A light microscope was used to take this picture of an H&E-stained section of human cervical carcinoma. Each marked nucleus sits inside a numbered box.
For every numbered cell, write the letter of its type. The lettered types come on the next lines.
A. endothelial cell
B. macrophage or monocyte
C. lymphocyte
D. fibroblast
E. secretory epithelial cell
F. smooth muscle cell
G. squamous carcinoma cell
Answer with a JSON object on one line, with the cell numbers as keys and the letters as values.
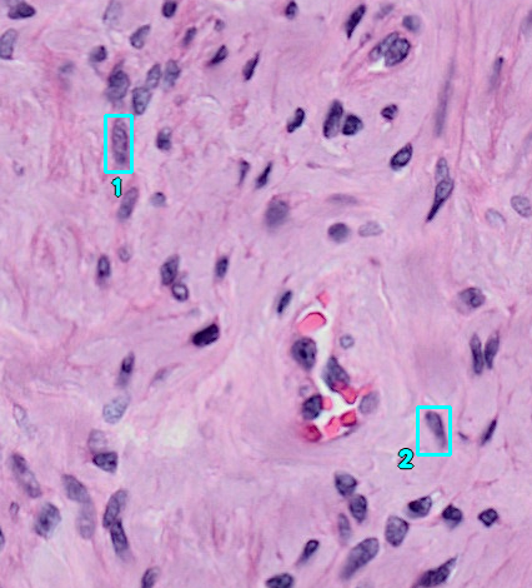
{"1": "F", "2": "D"}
